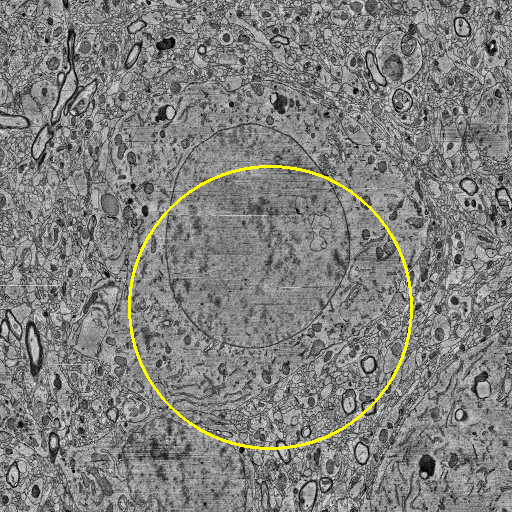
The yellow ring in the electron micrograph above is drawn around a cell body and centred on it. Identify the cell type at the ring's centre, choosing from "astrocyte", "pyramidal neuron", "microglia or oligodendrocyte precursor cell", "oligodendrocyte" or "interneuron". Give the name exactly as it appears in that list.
pyramidal neuron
